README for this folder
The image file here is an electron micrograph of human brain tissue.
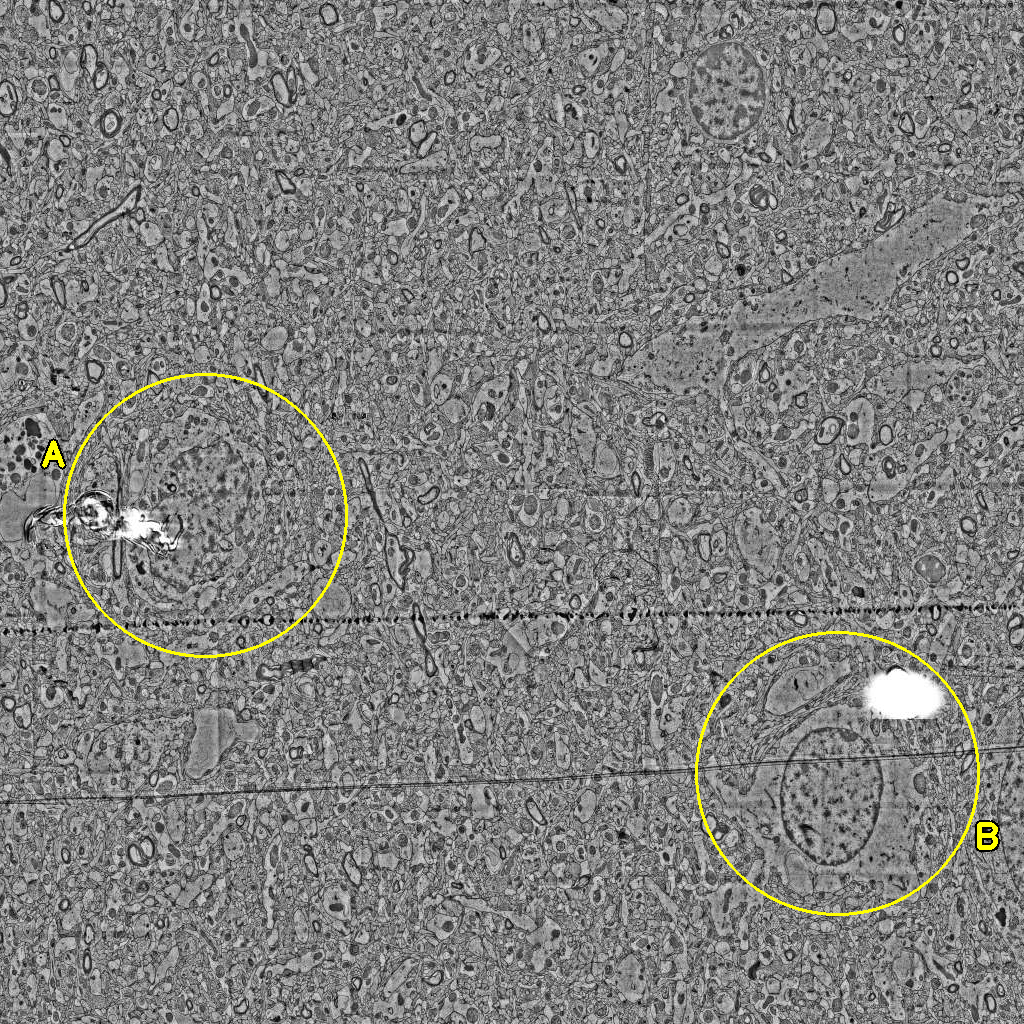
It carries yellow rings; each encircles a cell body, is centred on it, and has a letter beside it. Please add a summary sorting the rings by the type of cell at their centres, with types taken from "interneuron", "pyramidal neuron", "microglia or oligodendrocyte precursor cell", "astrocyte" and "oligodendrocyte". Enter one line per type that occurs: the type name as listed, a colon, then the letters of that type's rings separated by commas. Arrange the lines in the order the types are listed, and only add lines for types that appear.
interneuron: A
astrocyte: B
